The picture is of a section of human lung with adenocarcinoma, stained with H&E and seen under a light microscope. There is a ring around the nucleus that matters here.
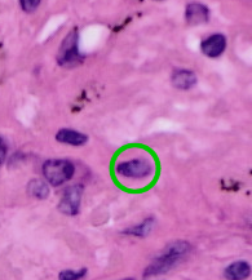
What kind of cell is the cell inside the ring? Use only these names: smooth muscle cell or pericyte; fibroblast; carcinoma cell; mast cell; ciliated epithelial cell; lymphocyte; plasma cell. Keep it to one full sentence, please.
In terms of identity, the cell inside the ring is a mast cell.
